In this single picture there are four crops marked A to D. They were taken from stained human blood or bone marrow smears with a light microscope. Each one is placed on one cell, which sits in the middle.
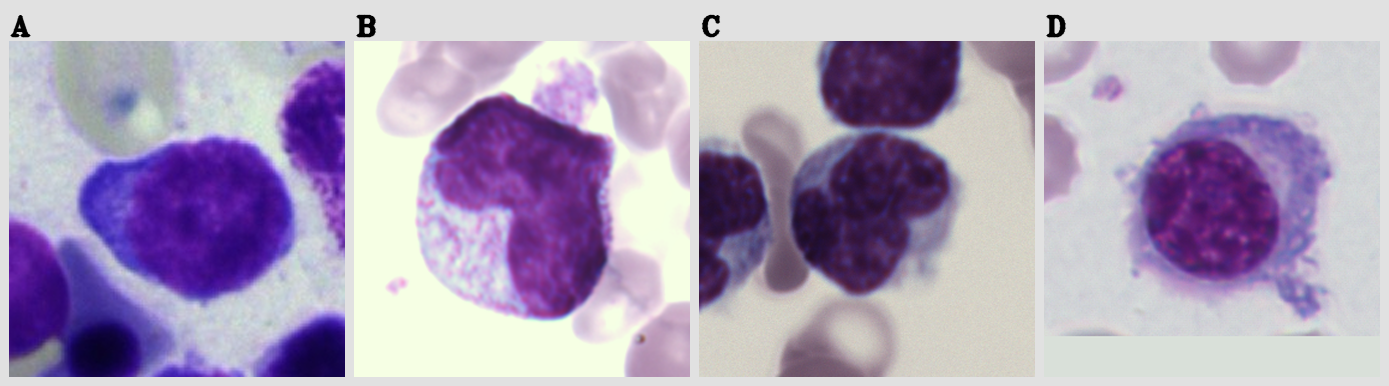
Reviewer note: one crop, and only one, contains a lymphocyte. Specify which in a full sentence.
The cell at the center of crop A is the one that is a lymphocyte.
